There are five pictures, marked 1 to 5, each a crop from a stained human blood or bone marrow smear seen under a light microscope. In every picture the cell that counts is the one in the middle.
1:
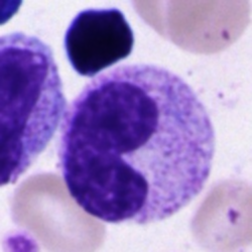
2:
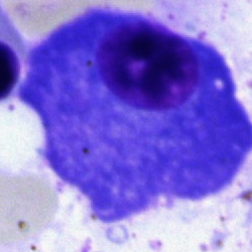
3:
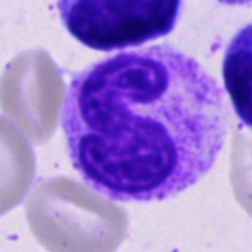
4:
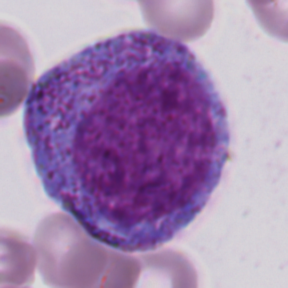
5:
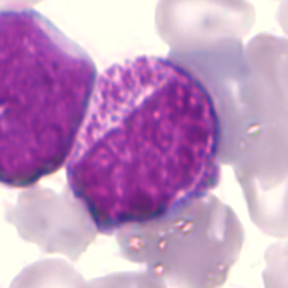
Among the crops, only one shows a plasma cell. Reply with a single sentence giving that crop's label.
Of the crops shown, crop 2 depicts a plasma cell.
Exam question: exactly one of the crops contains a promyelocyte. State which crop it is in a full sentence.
Crop 4 is the one in the set with a promyelocyte at the center.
